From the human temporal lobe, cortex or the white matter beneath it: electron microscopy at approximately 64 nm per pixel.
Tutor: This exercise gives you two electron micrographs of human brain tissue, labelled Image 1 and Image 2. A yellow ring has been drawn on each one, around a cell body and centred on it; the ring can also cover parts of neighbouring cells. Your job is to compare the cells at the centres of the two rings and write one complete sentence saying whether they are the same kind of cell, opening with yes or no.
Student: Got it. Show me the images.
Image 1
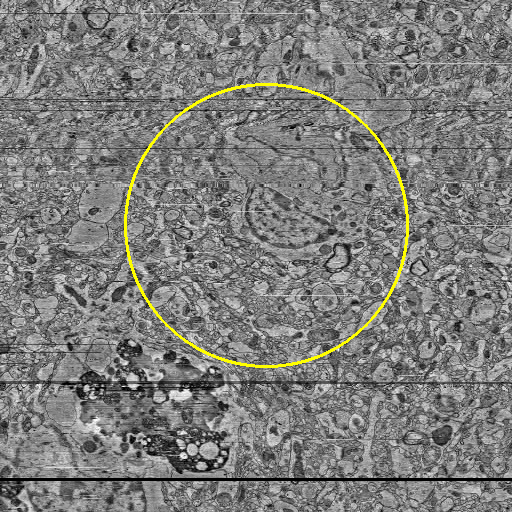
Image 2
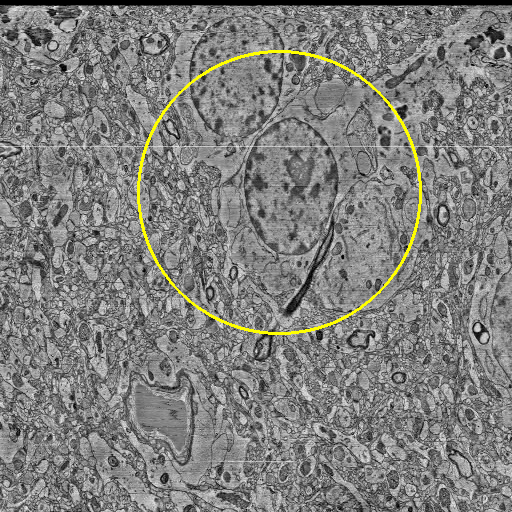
No, the two cells belong to two kinds.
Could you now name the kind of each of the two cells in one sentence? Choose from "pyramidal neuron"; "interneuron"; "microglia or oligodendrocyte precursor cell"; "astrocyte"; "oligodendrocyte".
The first ring encloses a microglial cell or oligodendrocyte precursor cell; the second ring encloses an astrocyte.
